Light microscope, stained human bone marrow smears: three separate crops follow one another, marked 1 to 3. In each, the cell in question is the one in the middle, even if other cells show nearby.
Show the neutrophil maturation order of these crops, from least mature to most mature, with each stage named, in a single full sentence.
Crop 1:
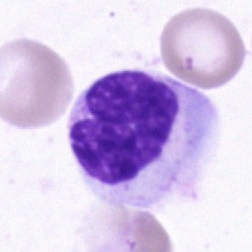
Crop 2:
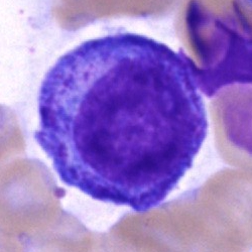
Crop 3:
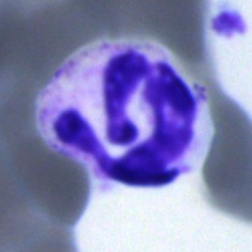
Along a scale from least to most mature, the order is crop 2 (a promyelocyte), crop 1 (a metamyelocyte) and crop 3 (a segmented neutrophil).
